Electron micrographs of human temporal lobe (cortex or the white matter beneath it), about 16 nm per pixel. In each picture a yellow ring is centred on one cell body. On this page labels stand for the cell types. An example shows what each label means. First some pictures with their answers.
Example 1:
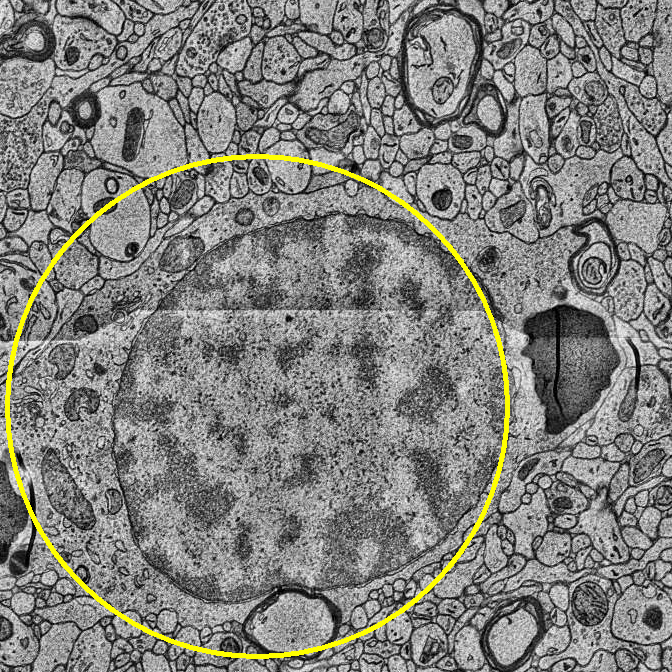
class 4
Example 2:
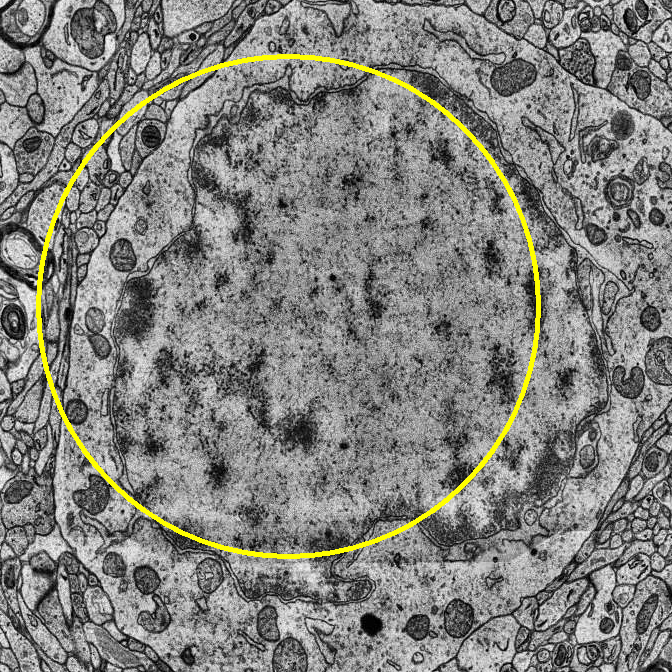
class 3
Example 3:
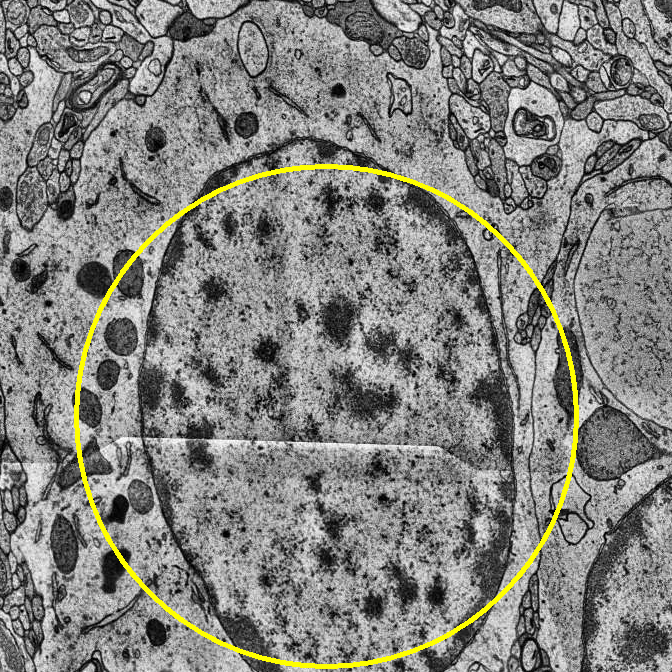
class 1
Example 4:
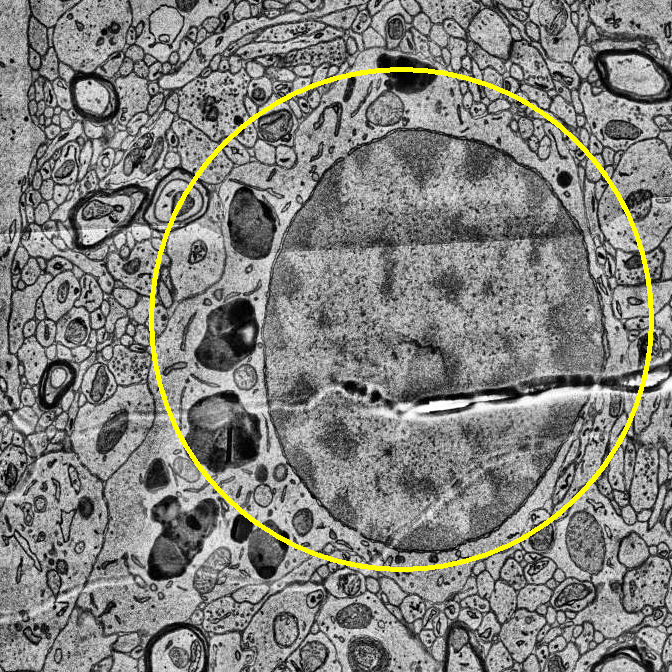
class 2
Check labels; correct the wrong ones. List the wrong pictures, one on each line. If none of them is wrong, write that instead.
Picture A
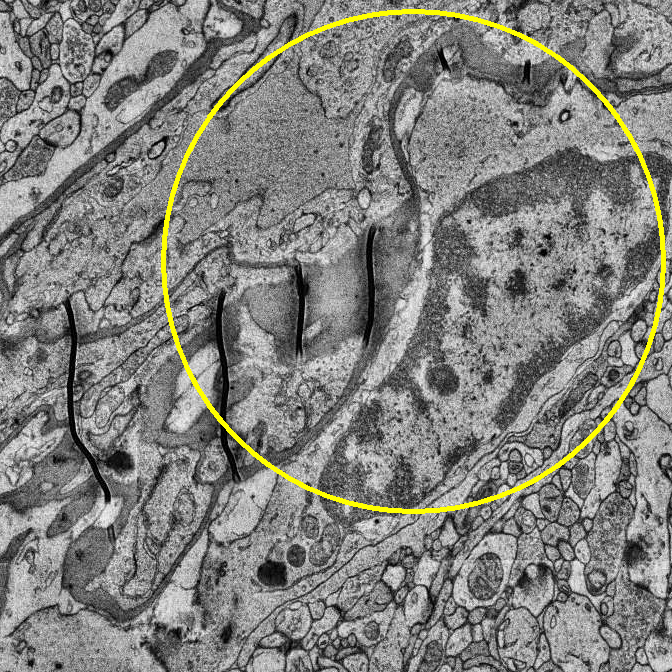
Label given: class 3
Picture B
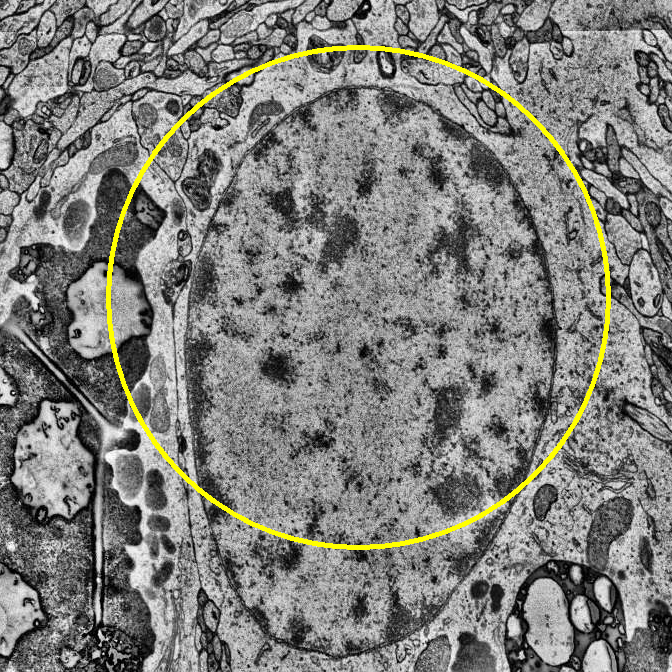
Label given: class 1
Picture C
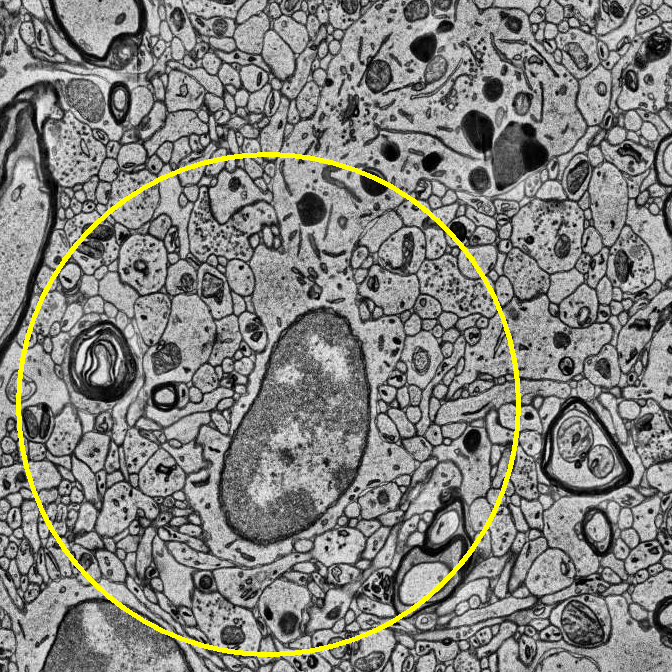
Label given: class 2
A is labelled class 3; correct label: class 2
